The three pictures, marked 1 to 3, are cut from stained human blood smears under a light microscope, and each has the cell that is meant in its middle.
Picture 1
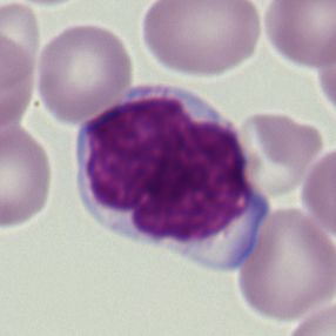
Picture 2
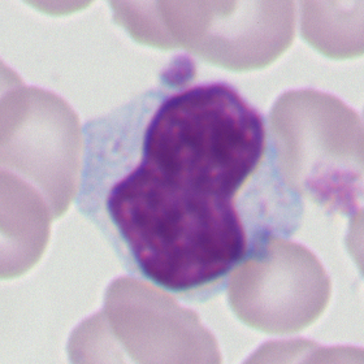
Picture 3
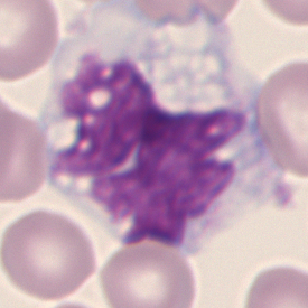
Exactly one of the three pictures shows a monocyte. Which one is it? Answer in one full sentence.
The picture with the monocyte is 3.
